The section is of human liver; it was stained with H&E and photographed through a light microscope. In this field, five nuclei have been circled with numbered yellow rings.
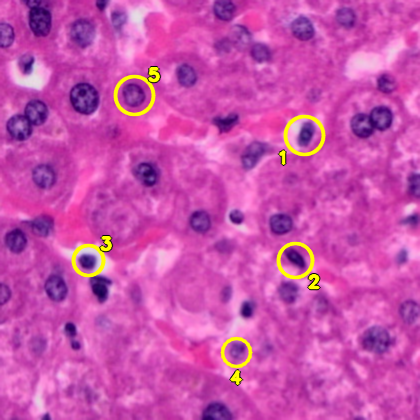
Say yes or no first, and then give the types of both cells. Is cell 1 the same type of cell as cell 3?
Yes, both are lymphocytes.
